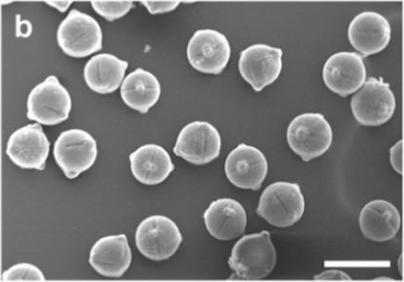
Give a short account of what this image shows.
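Scanning electron micrograph of many pollen grains lying separately on a flat surface. The grains are of similar size and roughly spherical to slightly triangular in outline.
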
